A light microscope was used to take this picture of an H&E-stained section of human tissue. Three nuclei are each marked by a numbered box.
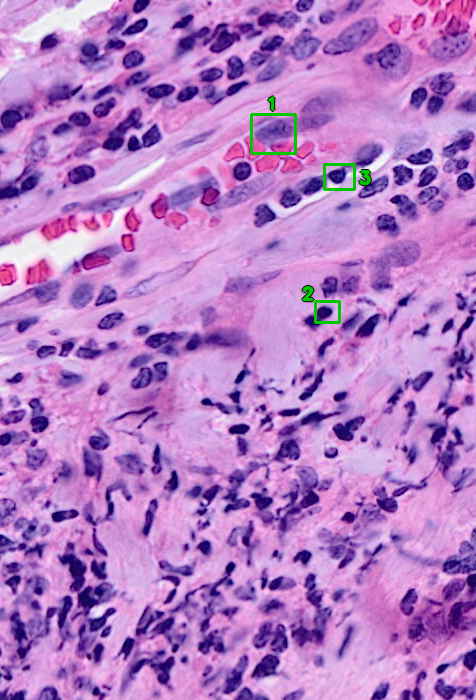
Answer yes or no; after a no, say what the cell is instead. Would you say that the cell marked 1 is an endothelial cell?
Yes.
